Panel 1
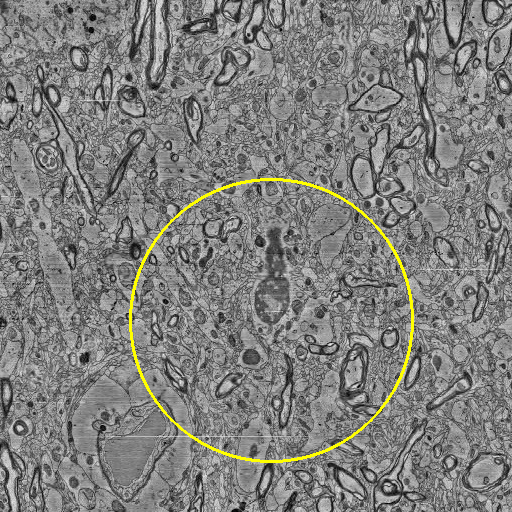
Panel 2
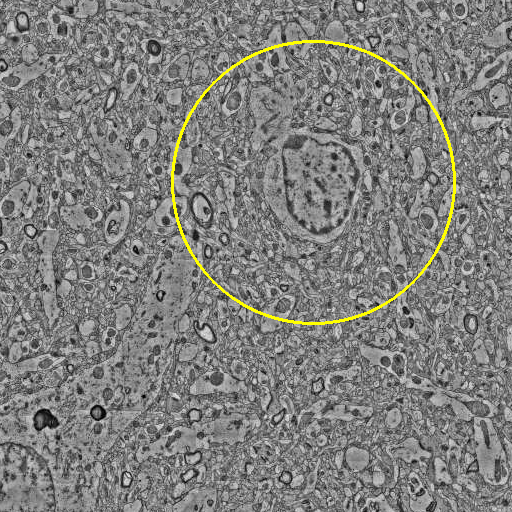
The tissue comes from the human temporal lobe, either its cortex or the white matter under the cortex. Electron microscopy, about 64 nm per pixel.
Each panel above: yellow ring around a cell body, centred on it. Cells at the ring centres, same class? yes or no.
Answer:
yes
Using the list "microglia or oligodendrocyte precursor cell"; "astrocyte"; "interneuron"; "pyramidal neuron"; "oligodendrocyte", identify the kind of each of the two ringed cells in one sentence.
In each of the two pictures, the ringed cell is a microglial cell or oligodendrocyte precursor cell.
